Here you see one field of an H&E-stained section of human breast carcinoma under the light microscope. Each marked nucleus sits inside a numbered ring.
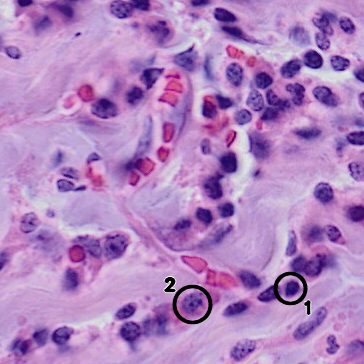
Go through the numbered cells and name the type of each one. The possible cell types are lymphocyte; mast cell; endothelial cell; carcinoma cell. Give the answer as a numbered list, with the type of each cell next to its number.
1. lymphocyte
2. mast cell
